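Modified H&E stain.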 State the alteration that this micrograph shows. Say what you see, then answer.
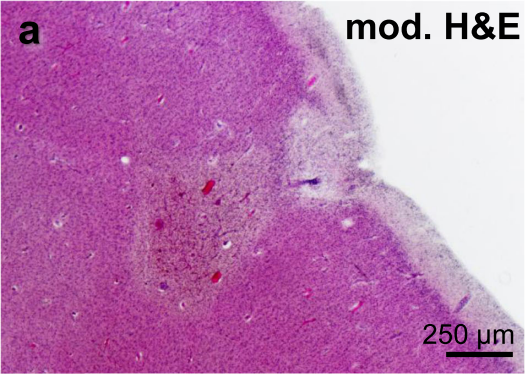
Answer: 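A roughly oval area in the cortex stains paler than the surrounding pink-purple tissue. The pale area lies near the cortical surface. The answer: pallor.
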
